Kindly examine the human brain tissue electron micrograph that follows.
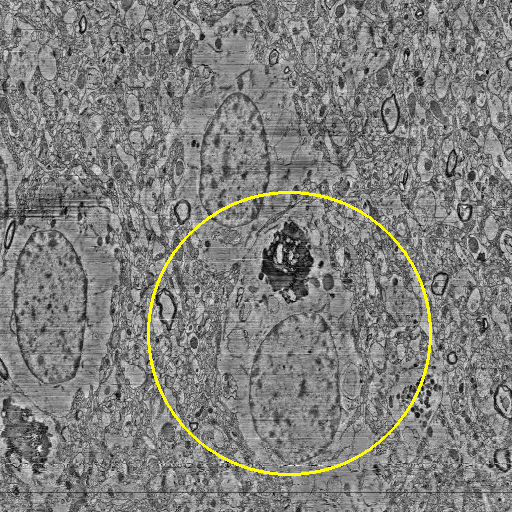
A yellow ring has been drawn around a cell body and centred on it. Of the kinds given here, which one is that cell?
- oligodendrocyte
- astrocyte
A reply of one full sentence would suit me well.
The micrograph's ringed cell, the one at the ring's centre, is an astrocyte.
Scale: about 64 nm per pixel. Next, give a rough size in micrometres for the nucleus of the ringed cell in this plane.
Roughly 10 micrometres by 6 micrometres, so the nucleus is clearly longer than it is wide in this plane.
